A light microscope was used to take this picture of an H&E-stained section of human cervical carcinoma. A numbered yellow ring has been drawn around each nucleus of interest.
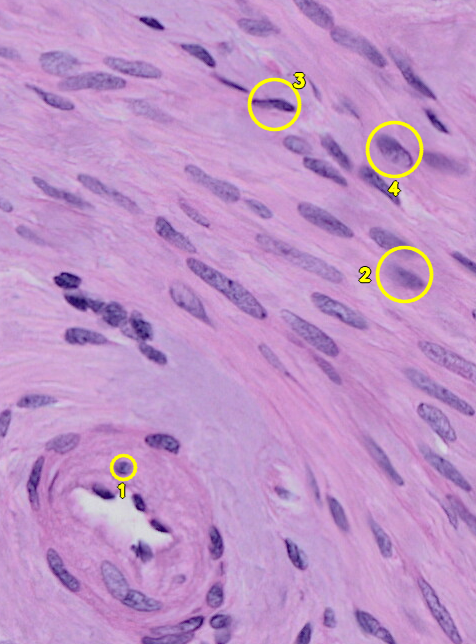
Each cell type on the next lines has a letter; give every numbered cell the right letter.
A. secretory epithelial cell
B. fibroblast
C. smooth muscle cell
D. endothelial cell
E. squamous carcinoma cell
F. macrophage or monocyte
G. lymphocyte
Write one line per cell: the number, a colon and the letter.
1: C
2: B
3: B
4: B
